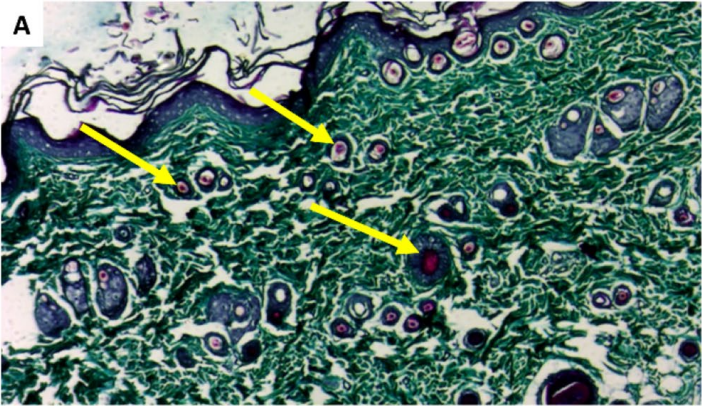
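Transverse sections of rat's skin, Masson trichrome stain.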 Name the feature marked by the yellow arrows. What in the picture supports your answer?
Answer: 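The arrows point to small round profiles in the dermis. Each profile has a pink-red core ringed by a dark purple-blue cellular sheath. So: active hair follicles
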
